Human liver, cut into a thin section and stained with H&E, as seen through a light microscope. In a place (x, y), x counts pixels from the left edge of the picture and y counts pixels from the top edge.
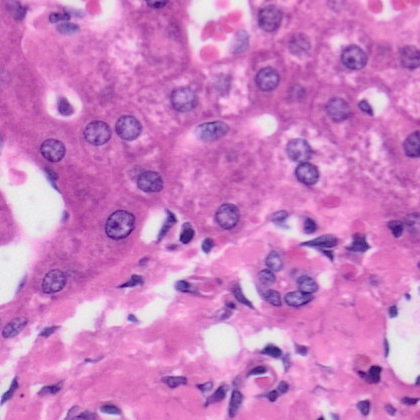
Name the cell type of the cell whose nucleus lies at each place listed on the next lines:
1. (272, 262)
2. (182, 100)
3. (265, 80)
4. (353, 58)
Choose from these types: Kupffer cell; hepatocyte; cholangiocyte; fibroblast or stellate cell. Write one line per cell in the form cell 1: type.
cell 1: cholangiocyte
cell 2: hepatocyte
cell 3: hepatocyte
cell 4: hepatocyte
